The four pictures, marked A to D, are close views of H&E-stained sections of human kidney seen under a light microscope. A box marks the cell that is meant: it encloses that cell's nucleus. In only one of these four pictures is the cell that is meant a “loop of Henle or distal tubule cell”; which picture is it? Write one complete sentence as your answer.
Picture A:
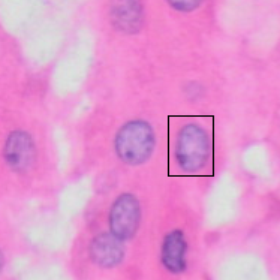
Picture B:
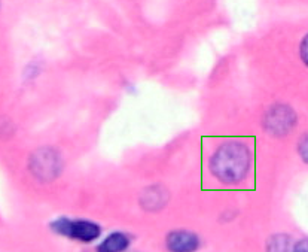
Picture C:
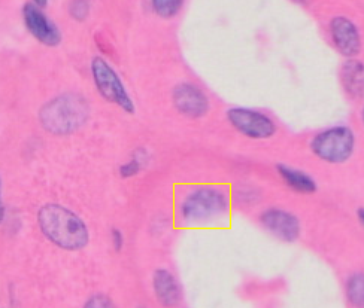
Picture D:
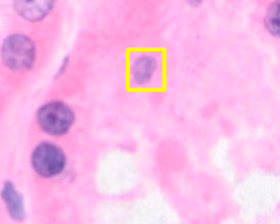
Picture C is the one that shows the “loop of Henle or distal tubule cell”.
